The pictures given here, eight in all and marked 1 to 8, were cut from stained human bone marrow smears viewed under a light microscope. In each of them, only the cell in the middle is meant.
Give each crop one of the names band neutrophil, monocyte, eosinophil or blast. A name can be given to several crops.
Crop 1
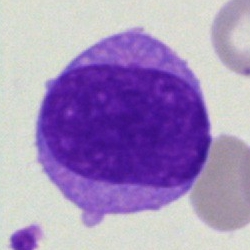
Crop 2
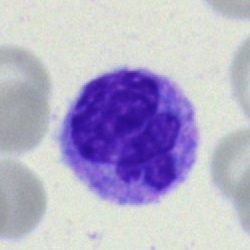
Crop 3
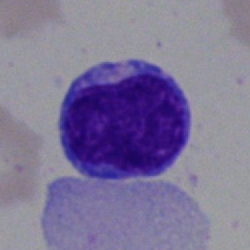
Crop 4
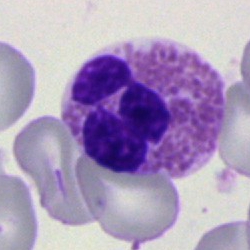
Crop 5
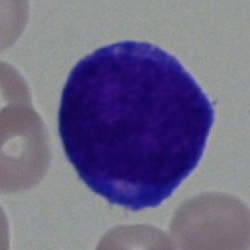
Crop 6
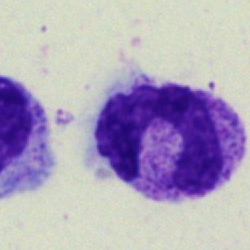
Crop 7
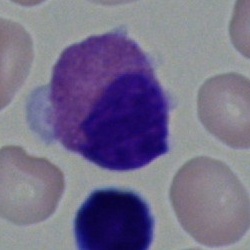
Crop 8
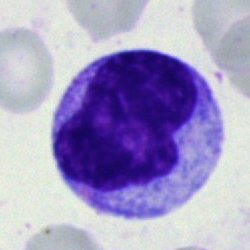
1: blast
2: monocyte
3: blast
4: eosinophil
5: blast
6: band neutrophil
7: eosinophil
8: monocyte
